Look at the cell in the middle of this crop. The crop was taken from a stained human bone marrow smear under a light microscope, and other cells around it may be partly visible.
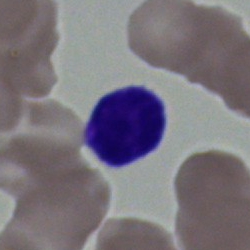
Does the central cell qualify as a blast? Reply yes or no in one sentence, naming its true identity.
No, in this crop the central cell is a lymphocyte instead of a blast.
